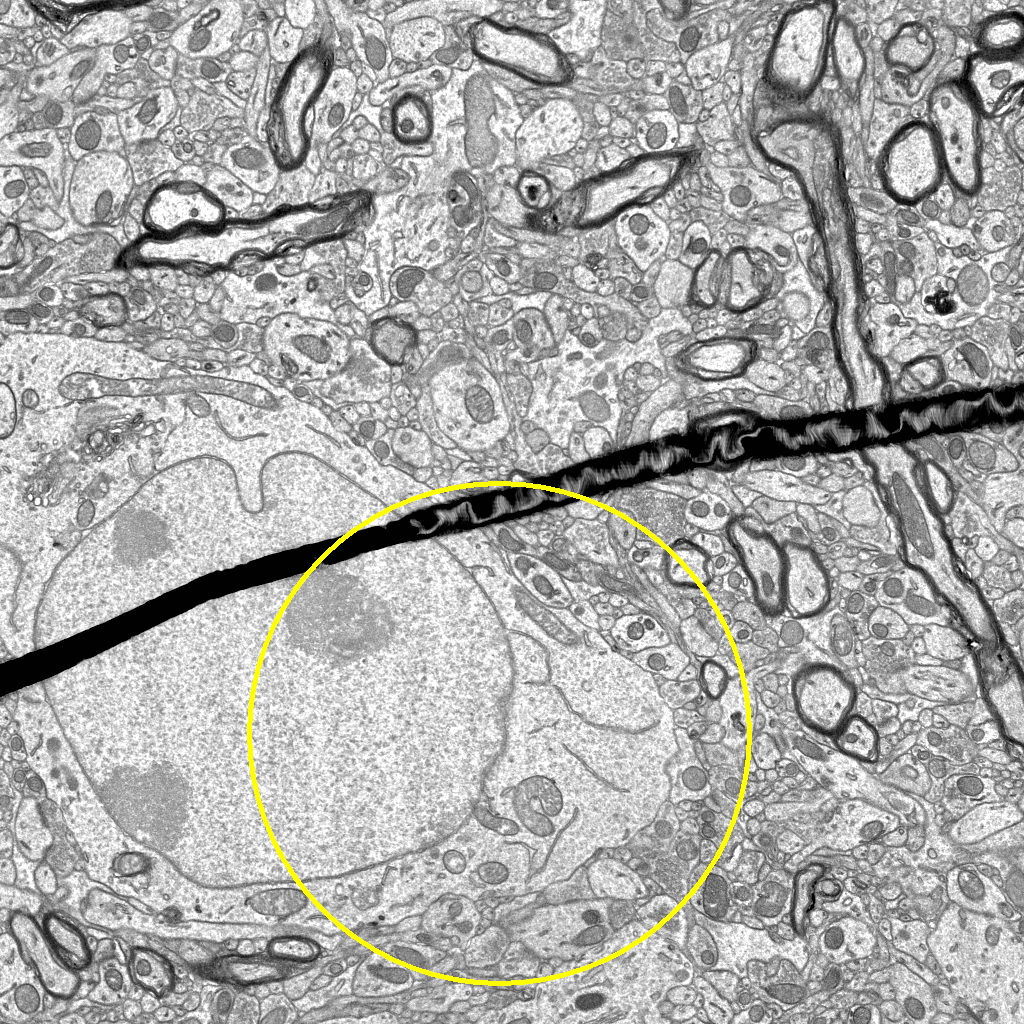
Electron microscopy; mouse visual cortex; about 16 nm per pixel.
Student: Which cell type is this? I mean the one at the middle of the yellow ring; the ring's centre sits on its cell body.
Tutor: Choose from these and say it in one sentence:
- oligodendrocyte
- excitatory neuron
The cell at the ring's centre is an oligodendrocyte.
